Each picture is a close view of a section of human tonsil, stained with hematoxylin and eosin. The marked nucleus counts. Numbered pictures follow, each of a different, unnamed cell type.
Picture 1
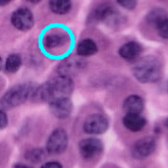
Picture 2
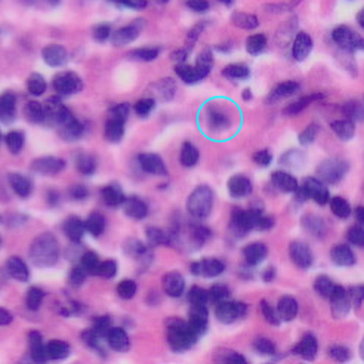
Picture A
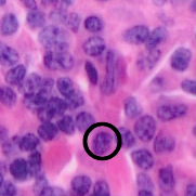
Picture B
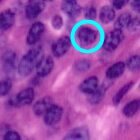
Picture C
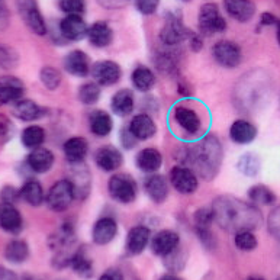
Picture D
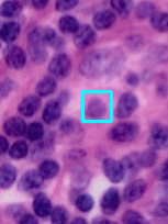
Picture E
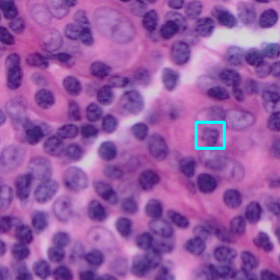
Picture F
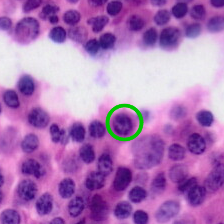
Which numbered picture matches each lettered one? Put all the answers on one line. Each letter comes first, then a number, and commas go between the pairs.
A 1, B 1, C 2, D 2, E 2, F 1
